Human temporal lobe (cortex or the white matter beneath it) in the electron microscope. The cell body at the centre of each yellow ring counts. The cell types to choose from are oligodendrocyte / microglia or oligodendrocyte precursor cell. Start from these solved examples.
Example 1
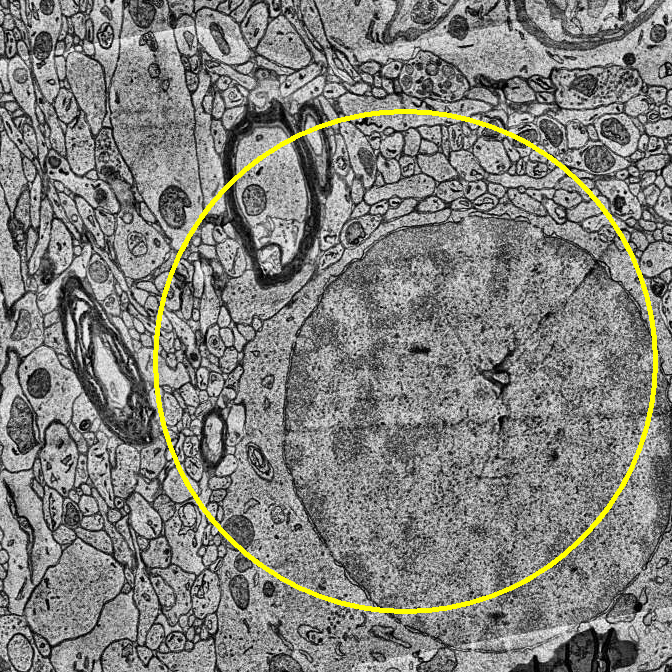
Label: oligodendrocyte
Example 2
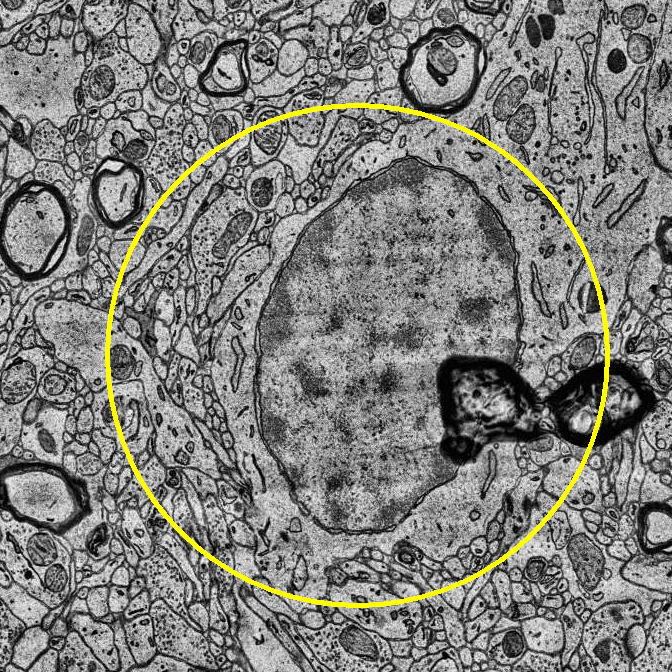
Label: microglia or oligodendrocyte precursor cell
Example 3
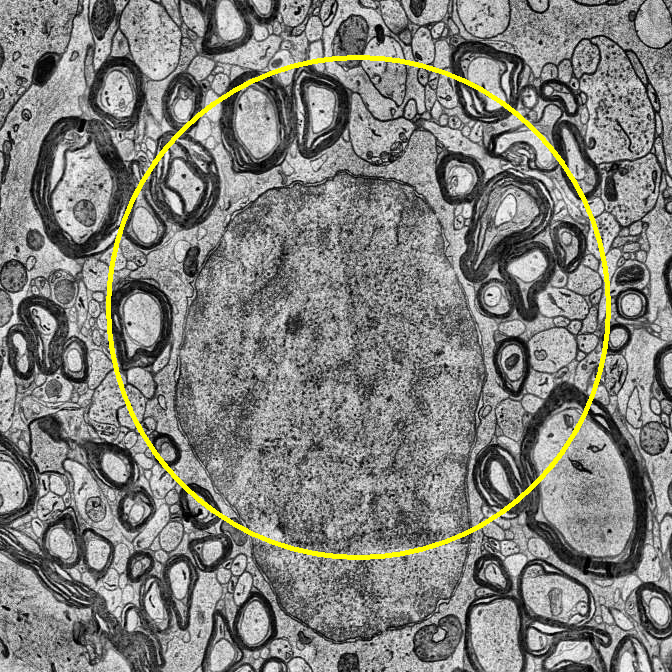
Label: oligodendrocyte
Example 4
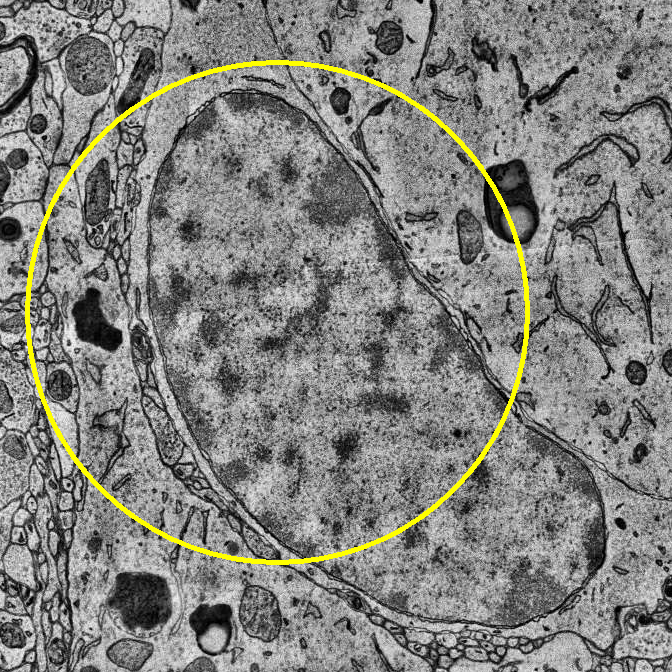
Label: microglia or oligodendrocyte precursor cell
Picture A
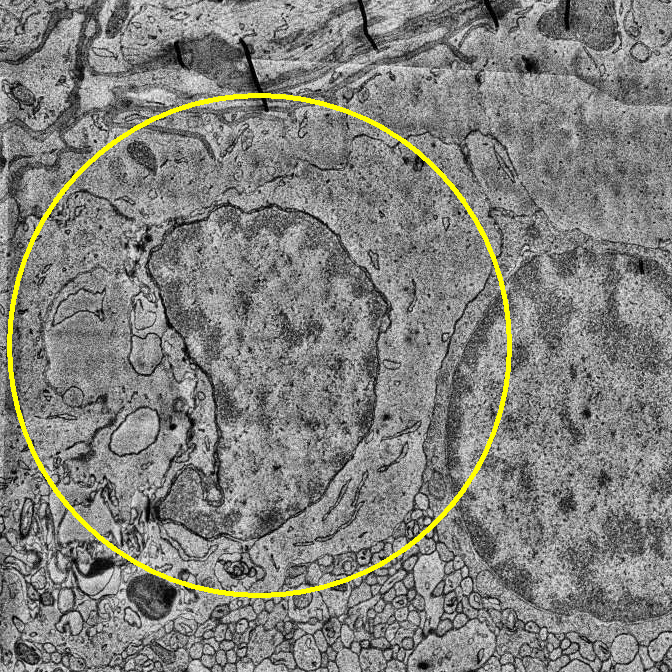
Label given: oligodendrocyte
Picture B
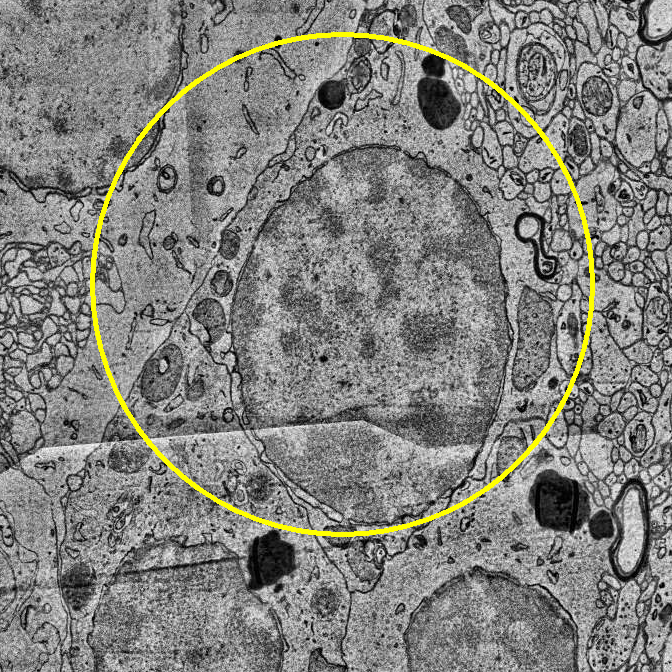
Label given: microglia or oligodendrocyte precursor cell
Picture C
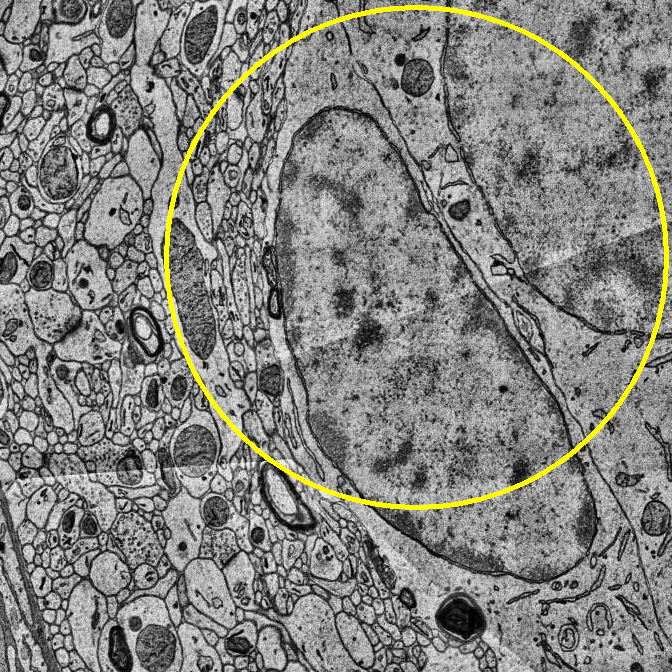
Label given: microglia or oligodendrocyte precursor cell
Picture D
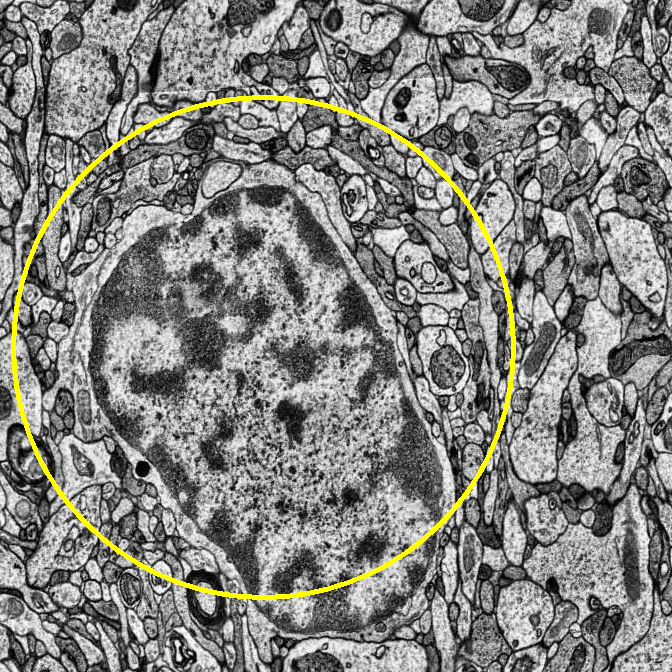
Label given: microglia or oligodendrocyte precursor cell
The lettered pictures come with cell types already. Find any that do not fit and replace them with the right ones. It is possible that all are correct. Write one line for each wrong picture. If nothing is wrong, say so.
A: not oligodendrocyte but microglia or oligodendrocyte precursor cell
B: not microglia or oligodendrocyte precursor cell but oligodendrocyte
